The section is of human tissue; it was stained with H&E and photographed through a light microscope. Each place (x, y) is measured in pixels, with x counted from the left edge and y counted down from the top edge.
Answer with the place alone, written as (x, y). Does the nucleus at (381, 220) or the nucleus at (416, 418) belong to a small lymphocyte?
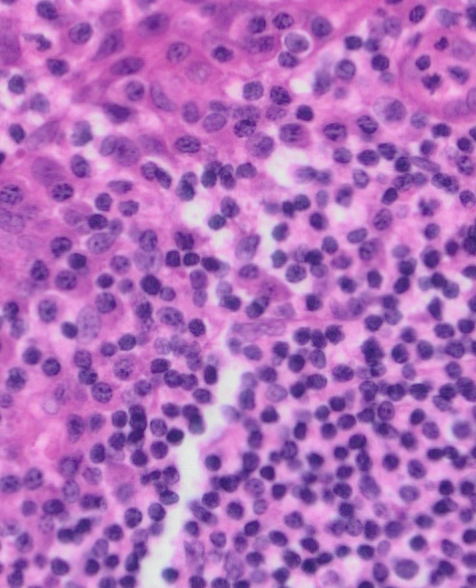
(416, 418)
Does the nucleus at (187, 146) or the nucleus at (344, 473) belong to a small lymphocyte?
(344, 473)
